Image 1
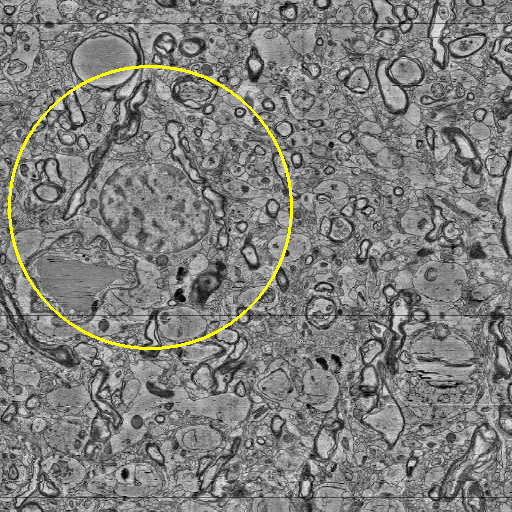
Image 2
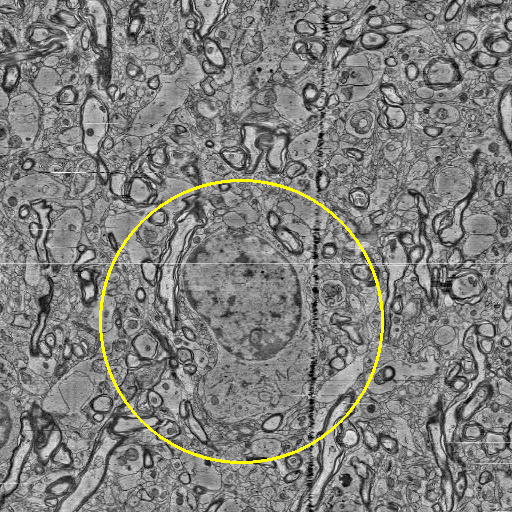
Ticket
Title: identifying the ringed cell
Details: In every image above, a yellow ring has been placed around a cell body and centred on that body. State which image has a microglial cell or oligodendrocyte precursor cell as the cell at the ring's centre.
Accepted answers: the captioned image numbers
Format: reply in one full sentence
The ring in image 2 is centred on the cell in question.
